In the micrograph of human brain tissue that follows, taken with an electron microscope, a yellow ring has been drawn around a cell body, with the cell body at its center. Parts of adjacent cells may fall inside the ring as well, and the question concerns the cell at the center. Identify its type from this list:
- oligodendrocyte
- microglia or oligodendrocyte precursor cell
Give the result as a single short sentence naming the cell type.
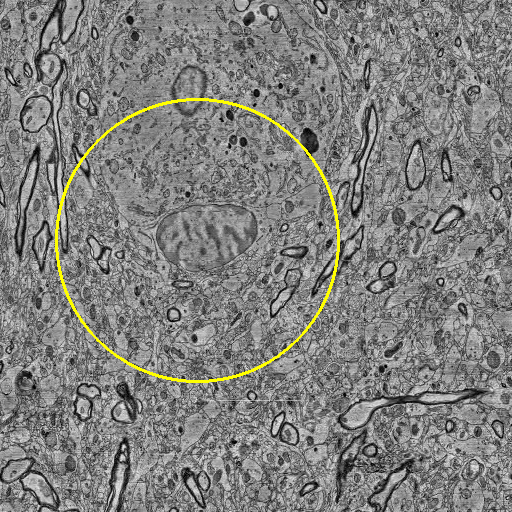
The ring is centered on a microglial cell or oligodendrocyte precursor cell.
